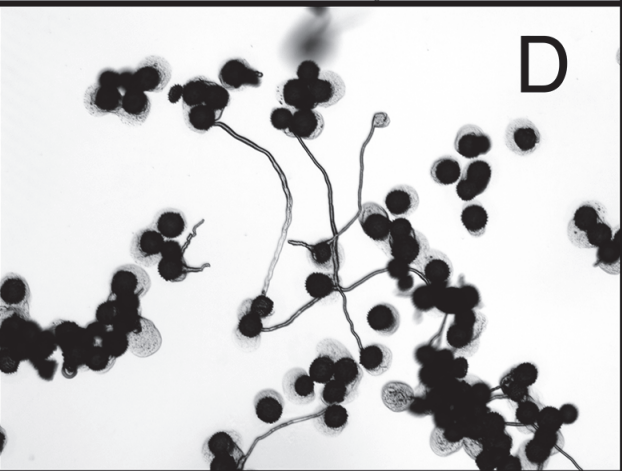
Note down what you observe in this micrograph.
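Some grains have put out thin, slender pollen tubes that run across the field between the clumps. Many other grains show no tube at all, and a few tubes are short or end in a small swelling.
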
